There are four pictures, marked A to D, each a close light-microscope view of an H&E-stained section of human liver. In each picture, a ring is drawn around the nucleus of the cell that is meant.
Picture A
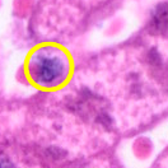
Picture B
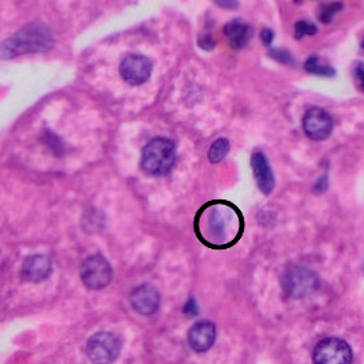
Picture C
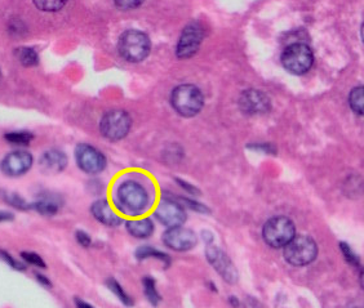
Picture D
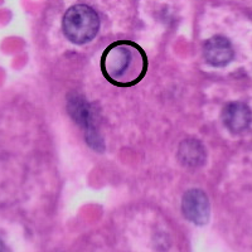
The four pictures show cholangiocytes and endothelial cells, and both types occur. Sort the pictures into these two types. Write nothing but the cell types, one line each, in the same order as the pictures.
endothelial cell
endothelial cell
cholangiocyte
endothelial cell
